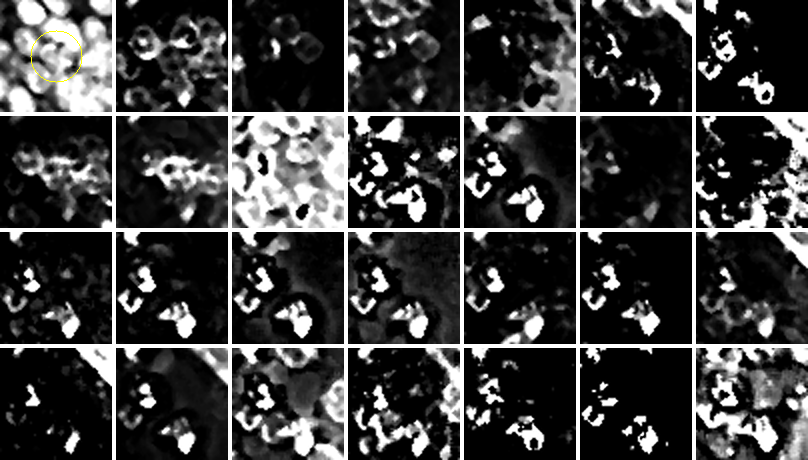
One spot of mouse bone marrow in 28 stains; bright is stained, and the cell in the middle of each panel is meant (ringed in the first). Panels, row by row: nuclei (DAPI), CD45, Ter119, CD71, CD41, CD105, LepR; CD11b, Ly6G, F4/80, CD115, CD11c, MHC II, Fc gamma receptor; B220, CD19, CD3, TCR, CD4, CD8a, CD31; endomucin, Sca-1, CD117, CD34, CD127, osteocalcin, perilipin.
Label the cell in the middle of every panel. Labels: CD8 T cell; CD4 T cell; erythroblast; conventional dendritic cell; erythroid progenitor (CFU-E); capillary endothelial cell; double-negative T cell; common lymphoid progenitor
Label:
erythroid progenitor (CFU-E)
